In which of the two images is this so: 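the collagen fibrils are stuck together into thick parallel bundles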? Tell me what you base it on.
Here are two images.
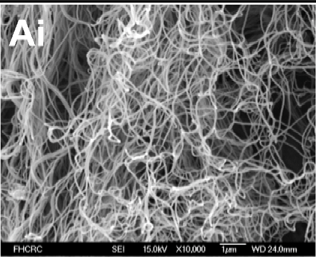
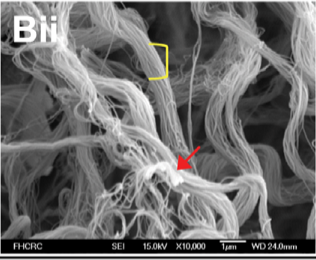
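Second image: fibrils lie packed side by side in thick cords. First image: fibrils are thin and separate, woven loosely in many directions. The answer: the second image.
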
